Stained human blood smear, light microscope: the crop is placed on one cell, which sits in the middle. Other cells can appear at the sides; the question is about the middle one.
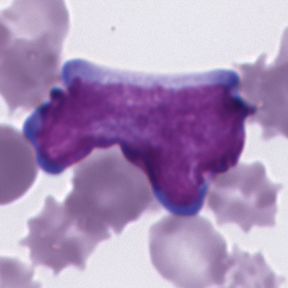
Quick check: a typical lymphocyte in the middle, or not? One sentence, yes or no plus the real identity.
No, the centre cell counts as a myeloblast, not as a typical lymphocyte.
